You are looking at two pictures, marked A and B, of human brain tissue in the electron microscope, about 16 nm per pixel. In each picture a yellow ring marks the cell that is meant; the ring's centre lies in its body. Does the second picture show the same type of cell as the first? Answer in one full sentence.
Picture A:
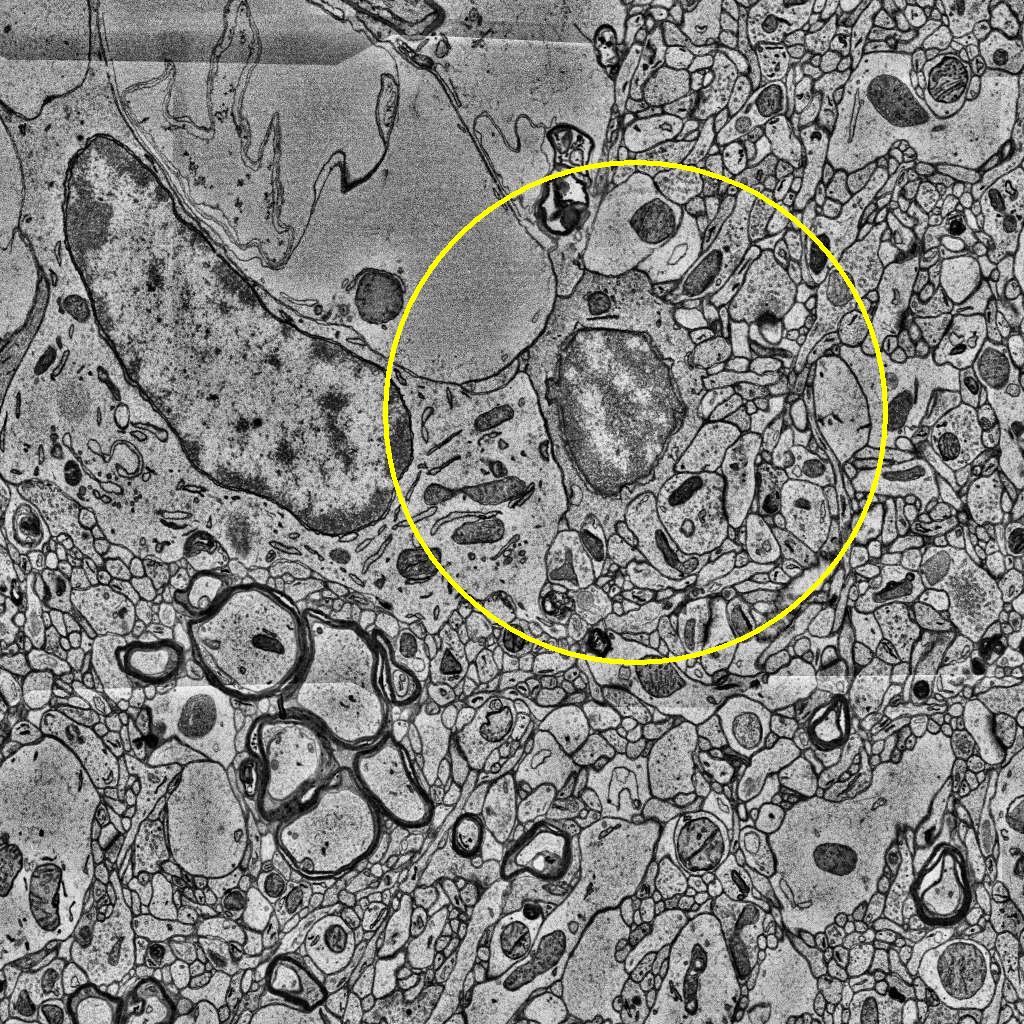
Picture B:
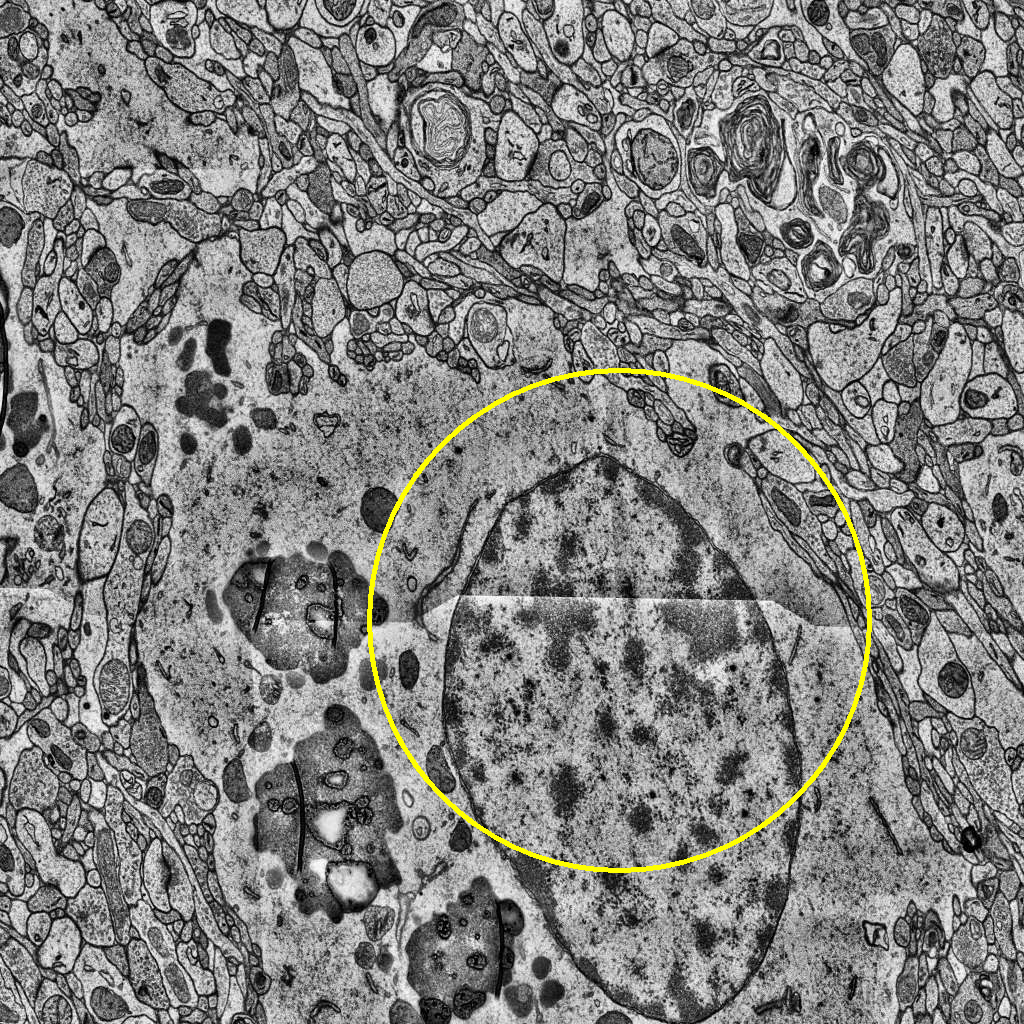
No. Picture A shows an oligodendrocyte, but picture B shows an astrocyte.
